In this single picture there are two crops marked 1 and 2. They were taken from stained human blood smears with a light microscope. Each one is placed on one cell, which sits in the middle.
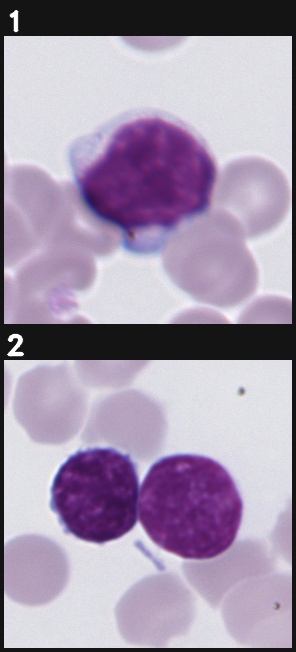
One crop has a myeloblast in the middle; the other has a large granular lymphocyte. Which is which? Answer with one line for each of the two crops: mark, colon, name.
1: large granular lymphocyte
2: myeloblast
